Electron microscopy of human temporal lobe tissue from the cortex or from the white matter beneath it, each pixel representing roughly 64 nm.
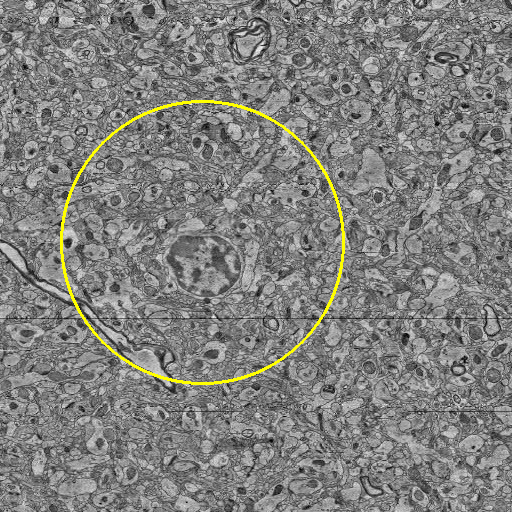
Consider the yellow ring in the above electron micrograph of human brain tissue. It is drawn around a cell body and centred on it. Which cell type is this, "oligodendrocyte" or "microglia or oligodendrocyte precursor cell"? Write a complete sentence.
The cell in question is a microglial cell or oligodendrocyte precursor cell.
